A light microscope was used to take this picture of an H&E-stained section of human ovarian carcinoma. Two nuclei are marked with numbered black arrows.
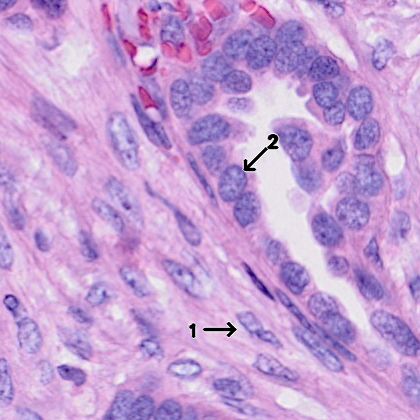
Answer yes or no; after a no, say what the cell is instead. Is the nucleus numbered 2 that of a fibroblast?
No, it is a carcinoma cell.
